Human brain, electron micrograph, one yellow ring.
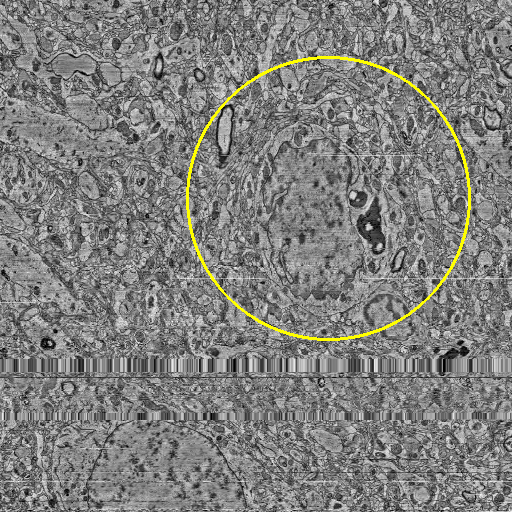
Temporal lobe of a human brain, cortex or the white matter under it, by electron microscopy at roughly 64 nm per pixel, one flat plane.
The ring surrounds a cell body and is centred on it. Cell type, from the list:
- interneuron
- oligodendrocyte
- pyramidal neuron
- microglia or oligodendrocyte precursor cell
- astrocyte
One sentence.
The yellow ring circles an interneuron.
